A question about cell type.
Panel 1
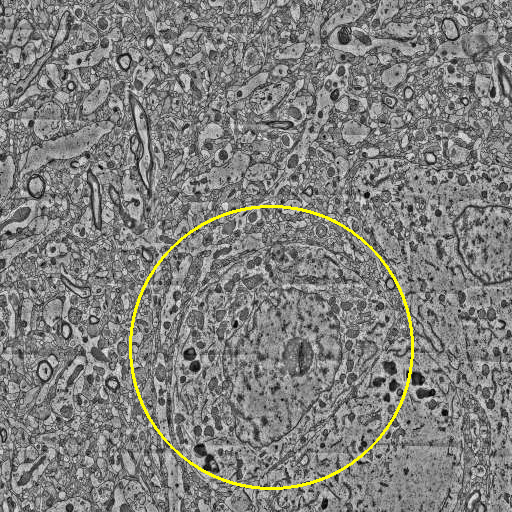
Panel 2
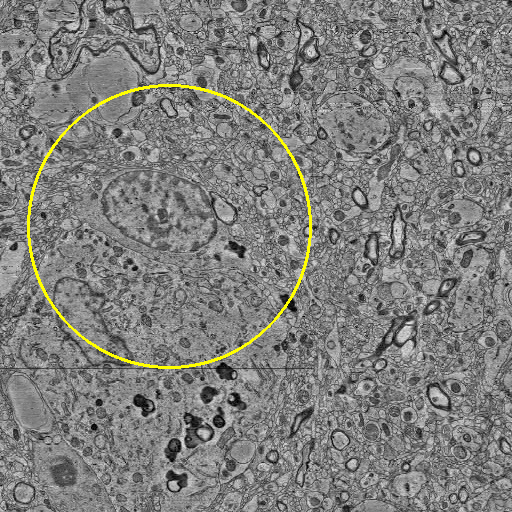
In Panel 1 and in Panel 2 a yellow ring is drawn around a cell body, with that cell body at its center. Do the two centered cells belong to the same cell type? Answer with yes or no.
no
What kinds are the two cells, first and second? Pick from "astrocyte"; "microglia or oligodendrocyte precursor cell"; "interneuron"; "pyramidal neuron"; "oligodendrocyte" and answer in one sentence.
The second picture holds an oligodendrocyte in its ring, and the first holds an interneuron.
